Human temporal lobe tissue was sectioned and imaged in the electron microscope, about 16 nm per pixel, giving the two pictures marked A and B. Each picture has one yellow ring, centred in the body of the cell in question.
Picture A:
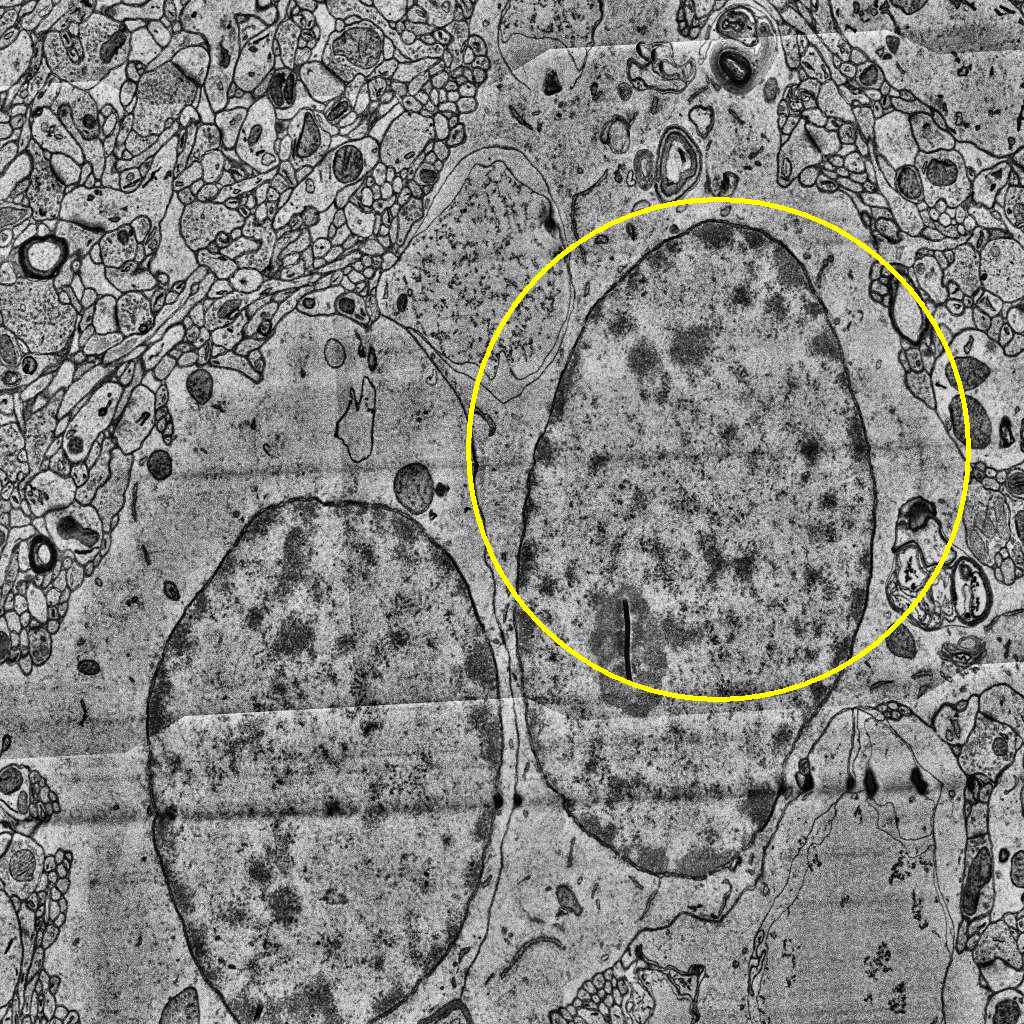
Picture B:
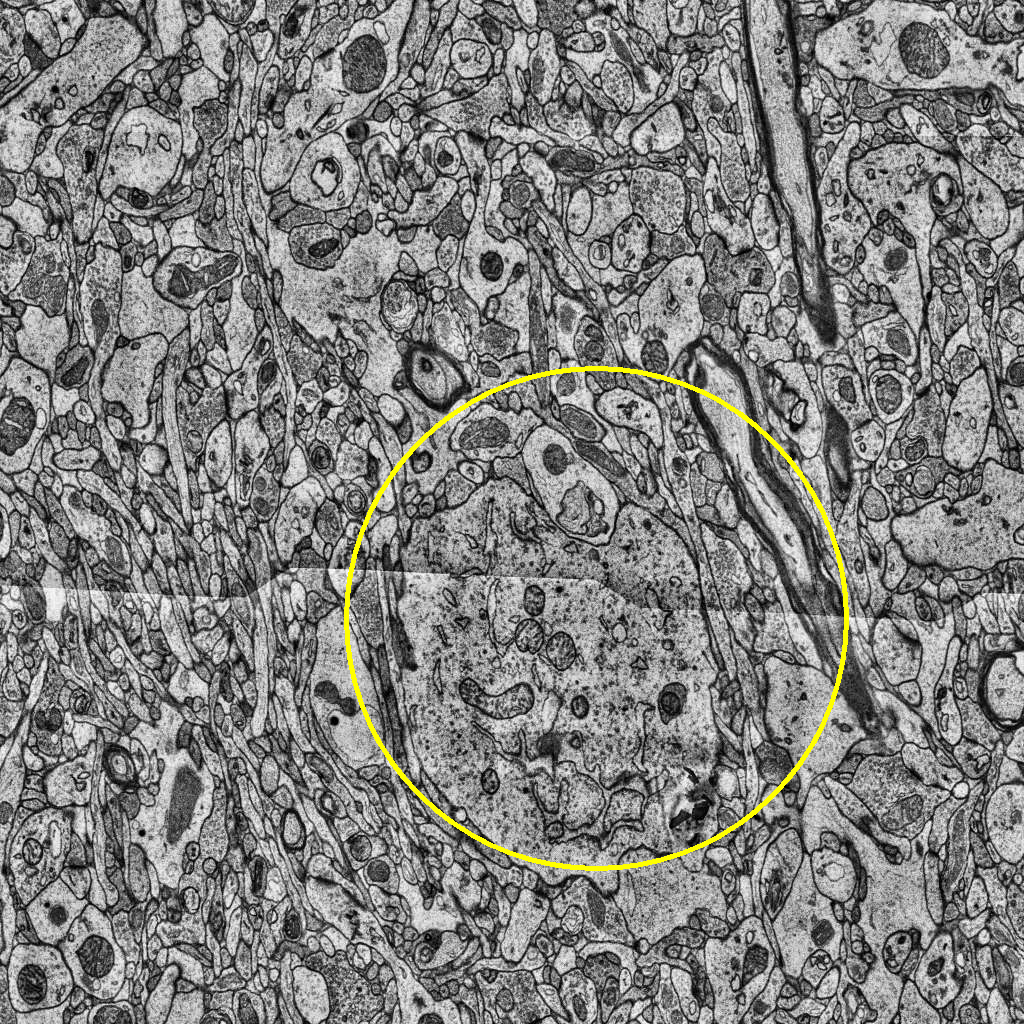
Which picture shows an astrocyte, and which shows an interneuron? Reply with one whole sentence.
In picture A the cell is an astrocyte; in picture B, an interneuron.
